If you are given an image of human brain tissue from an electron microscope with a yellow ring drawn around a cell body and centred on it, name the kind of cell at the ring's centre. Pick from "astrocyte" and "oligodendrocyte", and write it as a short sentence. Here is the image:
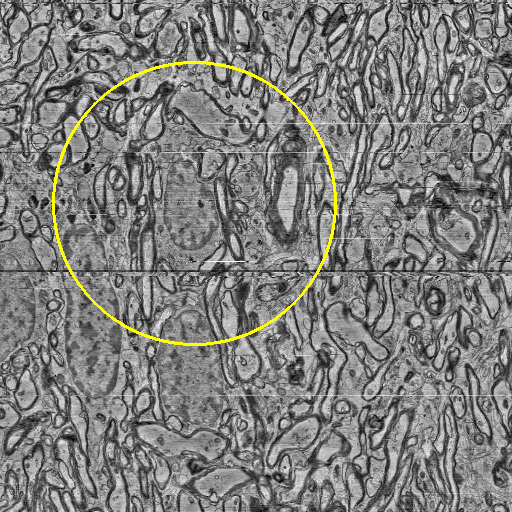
The cell at the ring's centre is an oligodendrocyte.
